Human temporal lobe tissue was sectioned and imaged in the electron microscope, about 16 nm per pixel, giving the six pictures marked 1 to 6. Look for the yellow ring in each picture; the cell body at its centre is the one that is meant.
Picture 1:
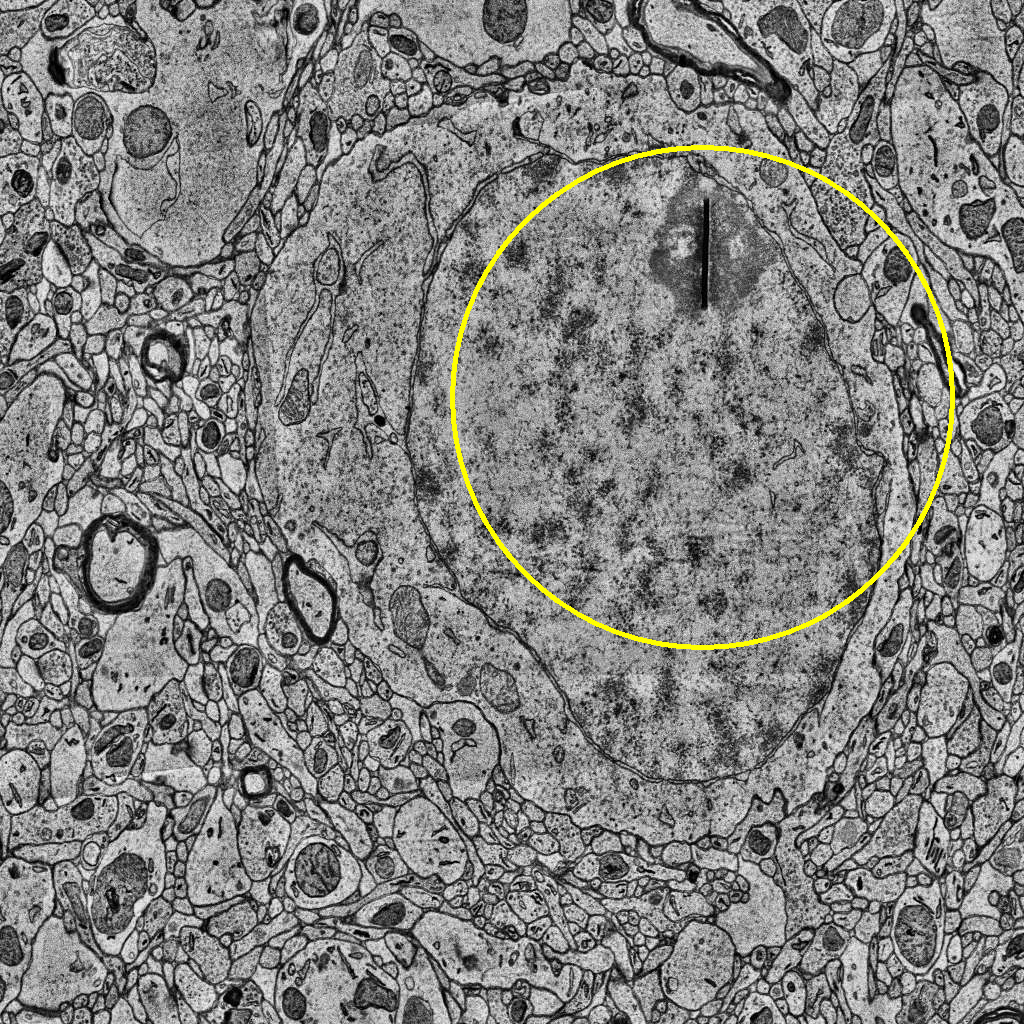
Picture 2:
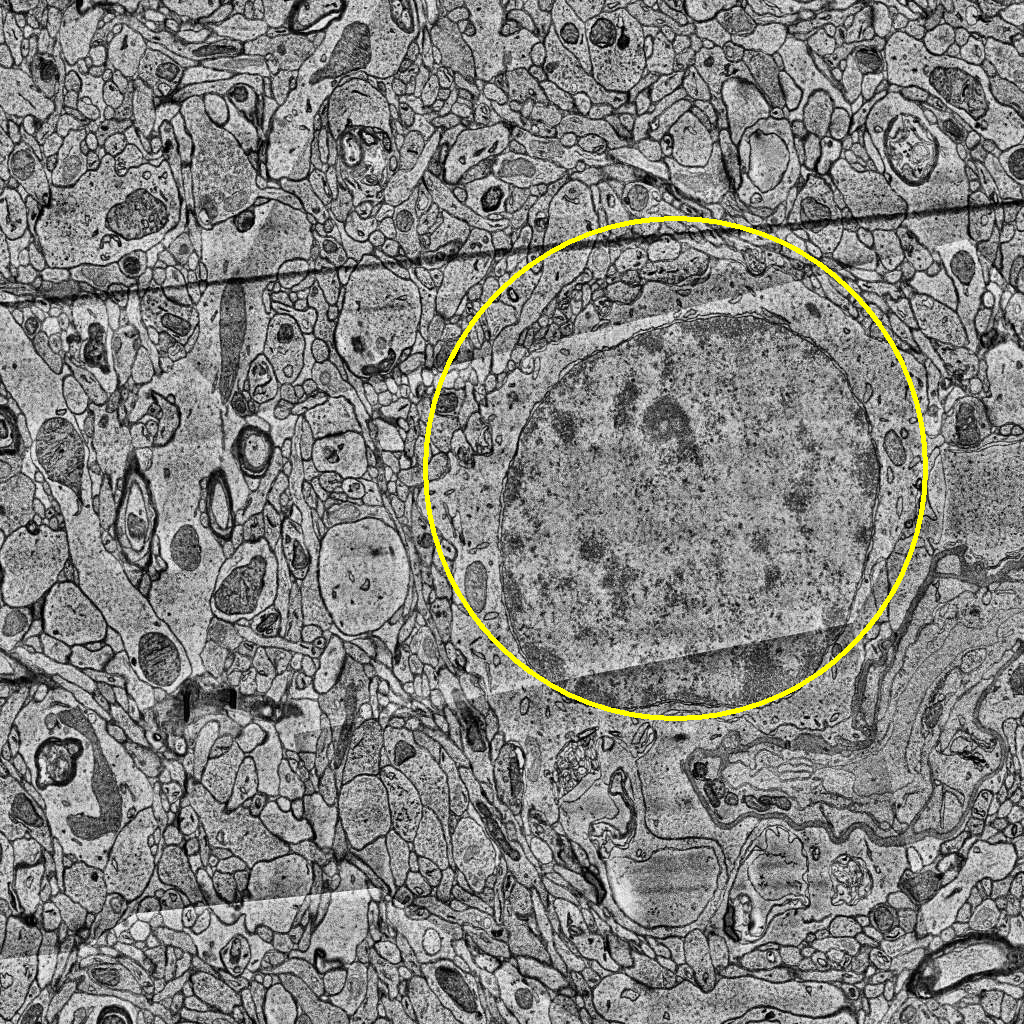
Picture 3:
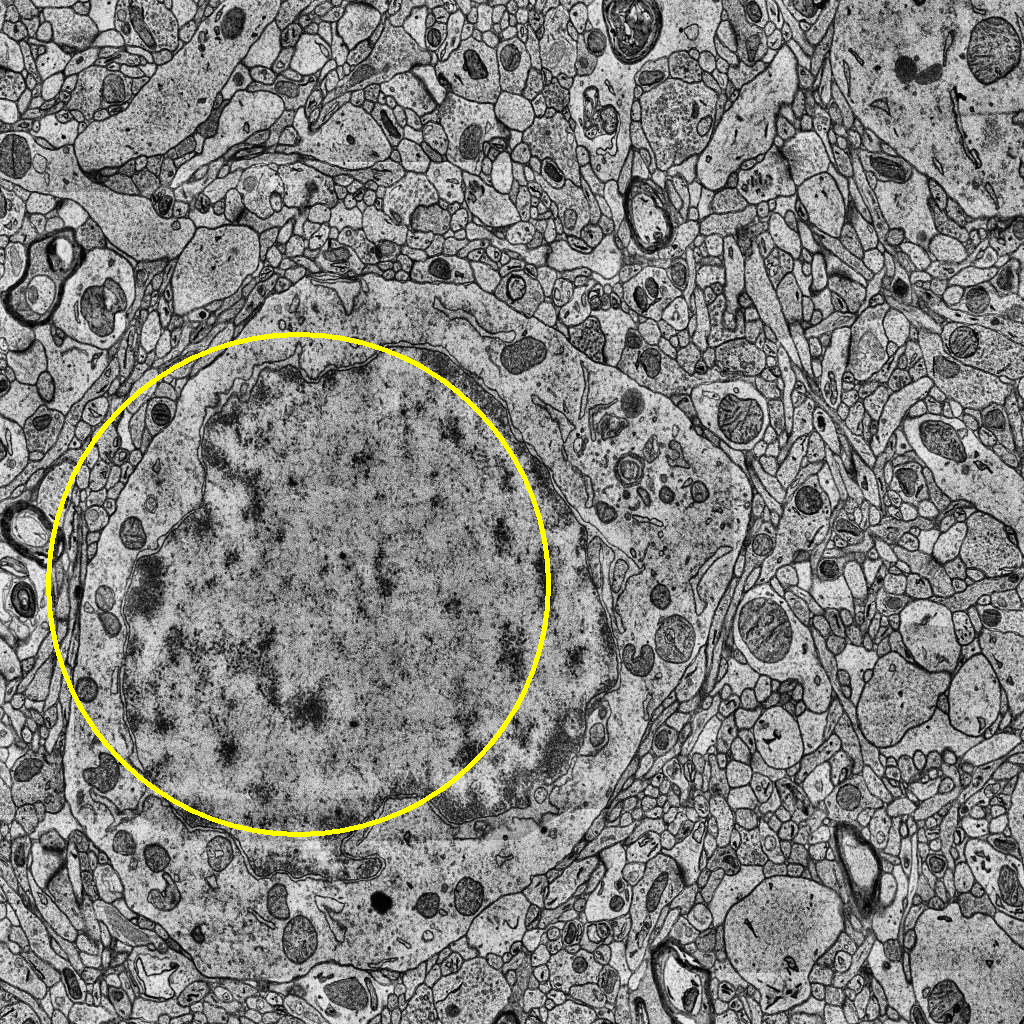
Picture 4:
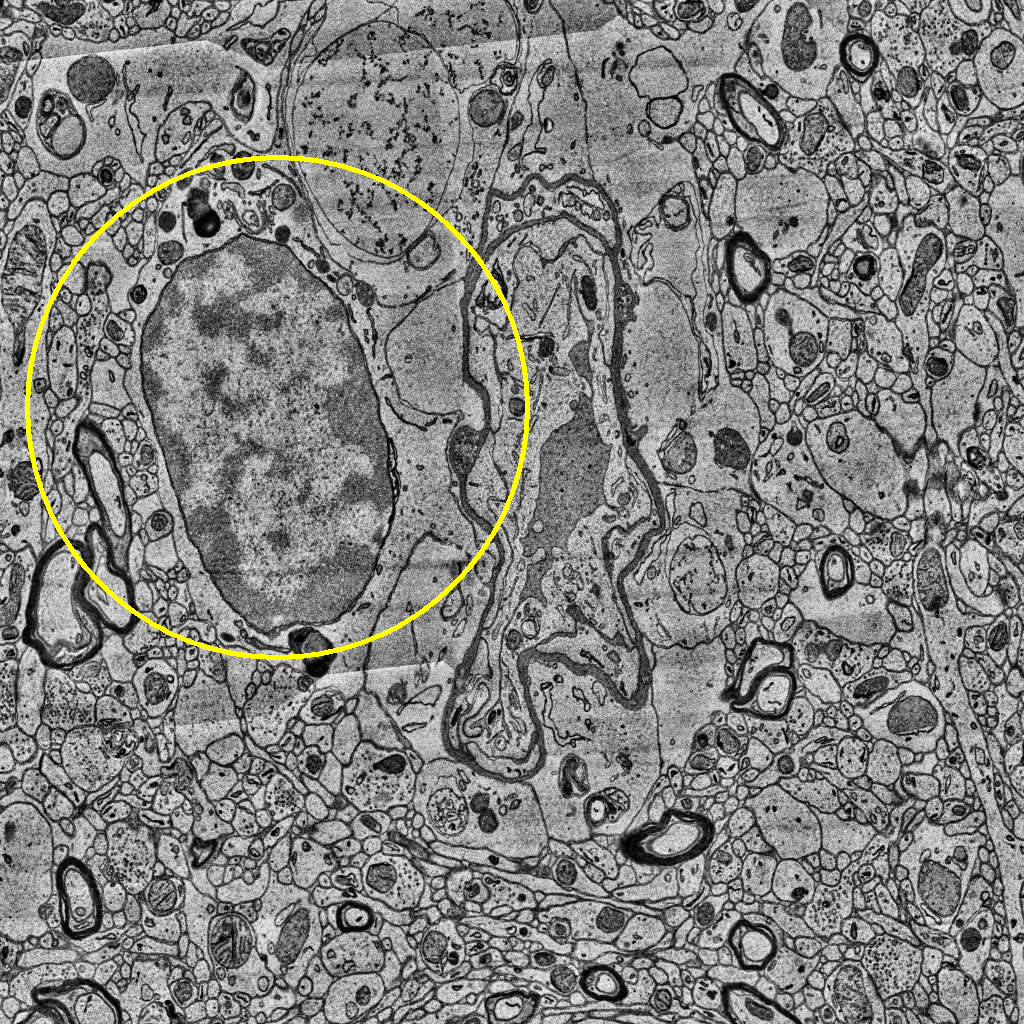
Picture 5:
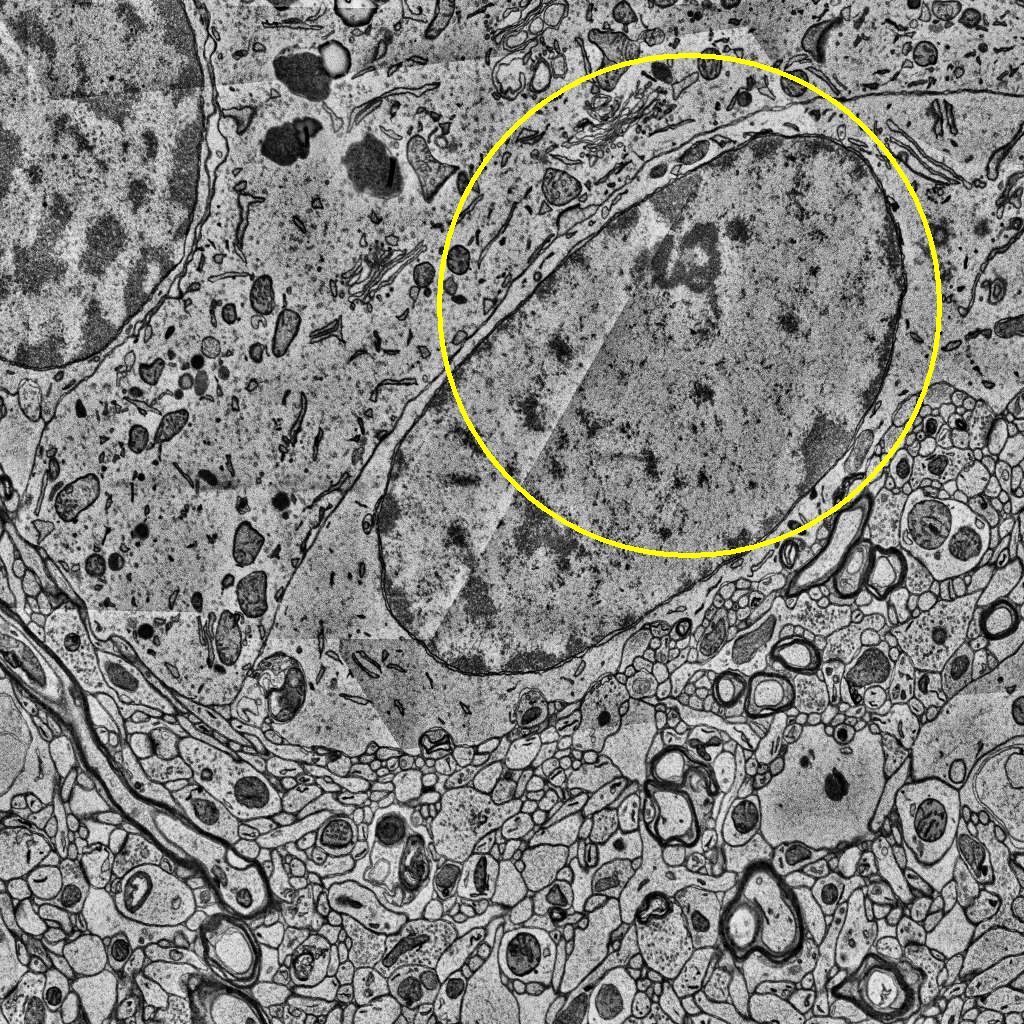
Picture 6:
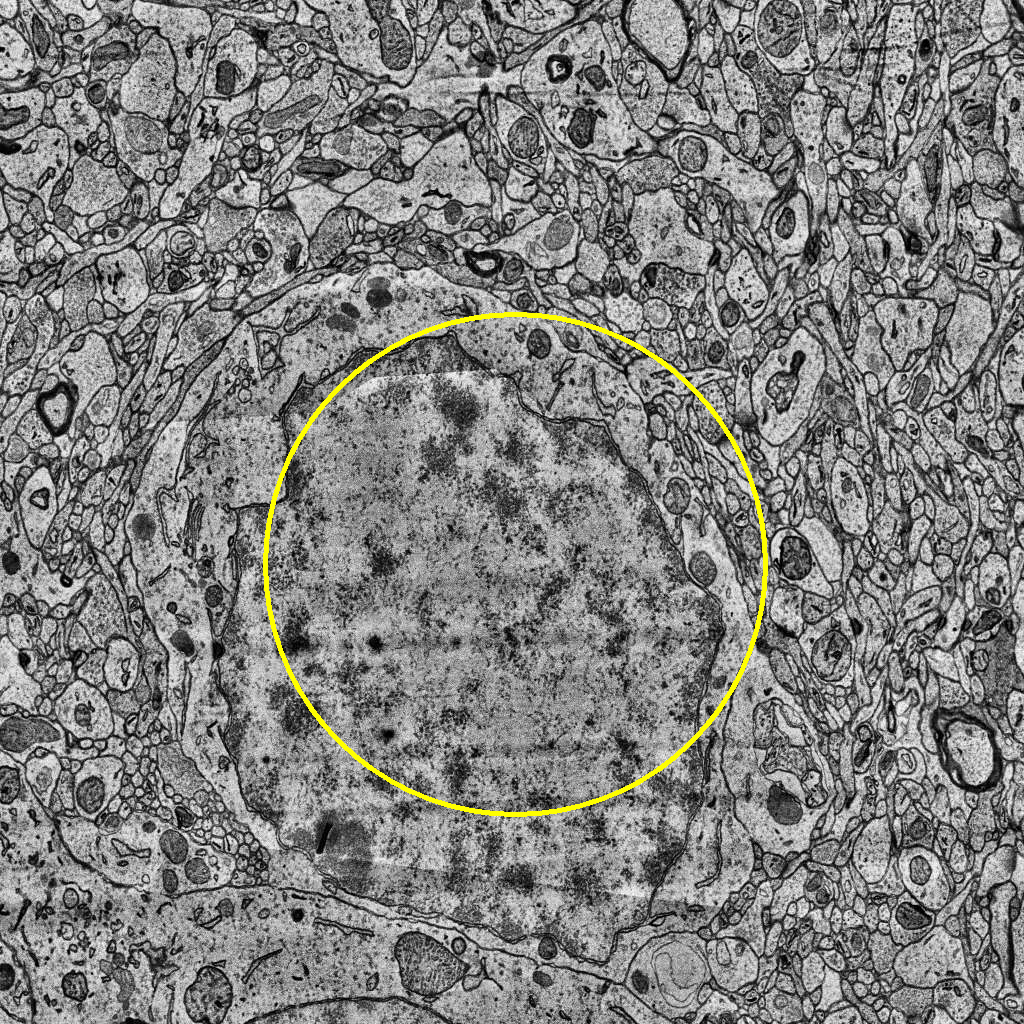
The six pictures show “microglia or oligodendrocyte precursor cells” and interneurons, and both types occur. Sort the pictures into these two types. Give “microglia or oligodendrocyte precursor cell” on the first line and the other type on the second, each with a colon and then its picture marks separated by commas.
microglia or oligodendrocyte precursor cell: 2, 4, 5
interneuron: 1, 3, 6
